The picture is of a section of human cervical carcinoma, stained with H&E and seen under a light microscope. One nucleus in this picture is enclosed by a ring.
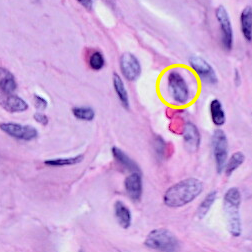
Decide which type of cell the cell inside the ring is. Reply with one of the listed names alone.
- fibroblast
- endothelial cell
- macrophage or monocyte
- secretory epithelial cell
endothelial cell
